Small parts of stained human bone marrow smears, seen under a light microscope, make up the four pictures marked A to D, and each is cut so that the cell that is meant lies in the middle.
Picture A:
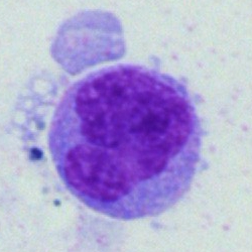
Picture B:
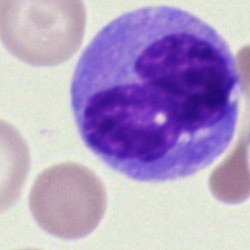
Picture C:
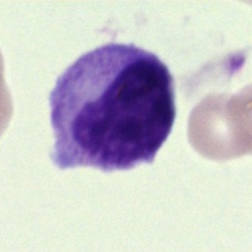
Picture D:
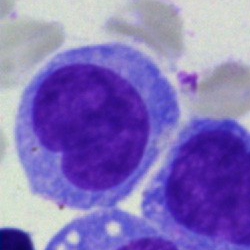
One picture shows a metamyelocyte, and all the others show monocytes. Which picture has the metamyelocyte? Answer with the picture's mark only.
C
